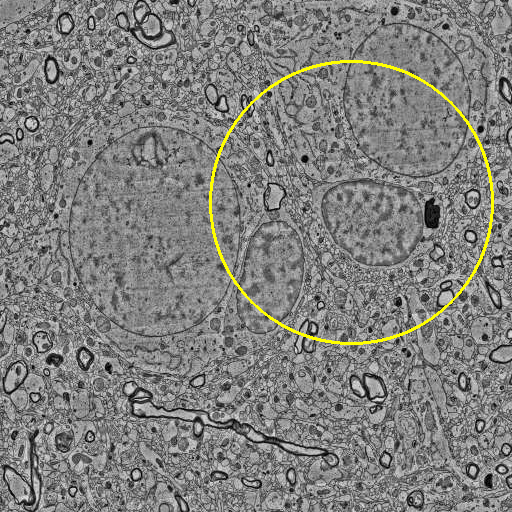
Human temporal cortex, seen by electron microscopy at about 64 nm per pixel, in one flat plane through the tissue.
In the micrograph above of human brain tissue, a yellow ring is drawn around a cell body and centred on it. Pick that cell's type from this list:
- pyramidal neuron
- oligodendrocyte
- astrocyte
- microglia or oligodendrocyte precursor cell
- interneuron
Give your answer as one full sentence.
Going by the list, an oligodendrocyte is the cell on which the yellow ring is centred.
